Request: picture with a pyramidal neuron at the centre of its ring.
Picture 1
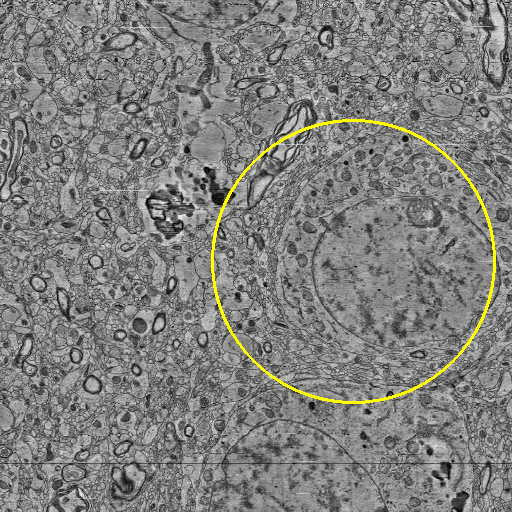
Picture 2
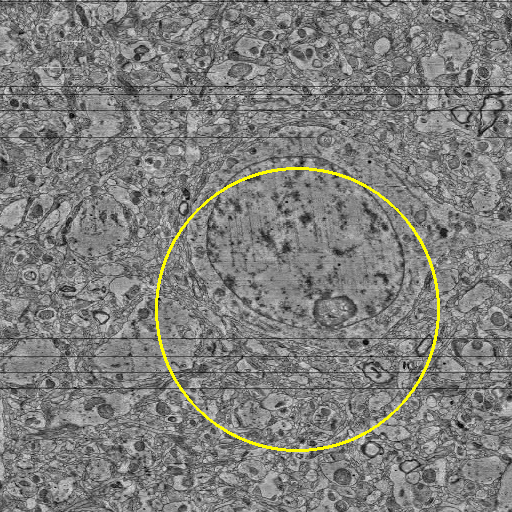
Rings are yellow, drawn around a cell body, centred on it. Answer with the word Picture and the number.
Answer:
Picture 2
